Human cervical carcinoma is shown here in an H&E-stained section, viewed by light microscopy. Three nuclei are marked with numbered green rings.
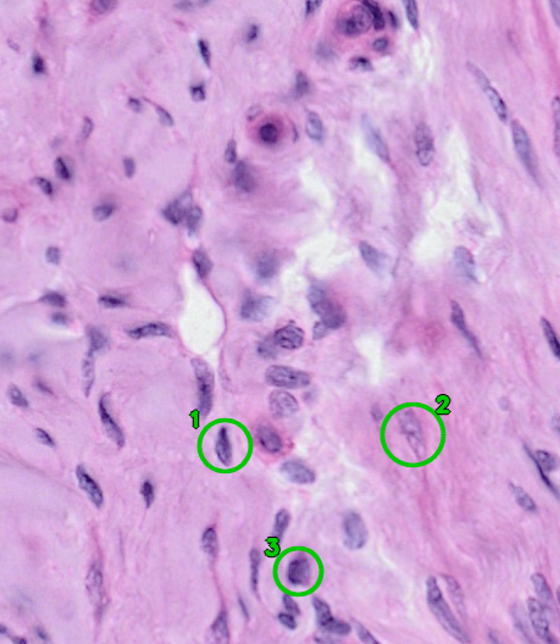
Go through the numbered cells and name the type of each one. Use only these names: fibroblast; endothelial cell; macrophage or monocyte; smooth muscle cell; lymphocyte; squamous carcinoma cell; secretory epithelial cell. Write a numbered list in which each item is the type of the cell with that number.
1. fibroblast
2. smooth muscle cell
3. fibroblast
